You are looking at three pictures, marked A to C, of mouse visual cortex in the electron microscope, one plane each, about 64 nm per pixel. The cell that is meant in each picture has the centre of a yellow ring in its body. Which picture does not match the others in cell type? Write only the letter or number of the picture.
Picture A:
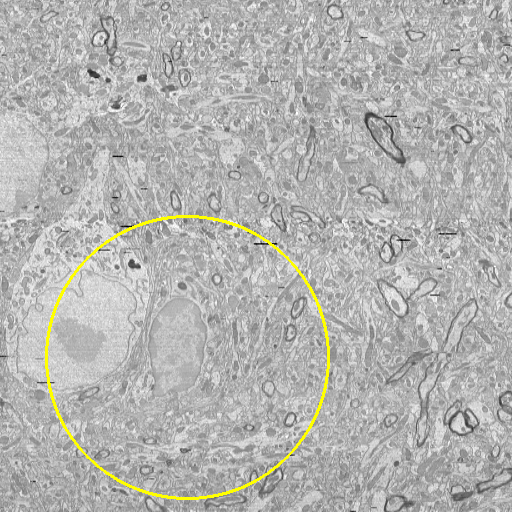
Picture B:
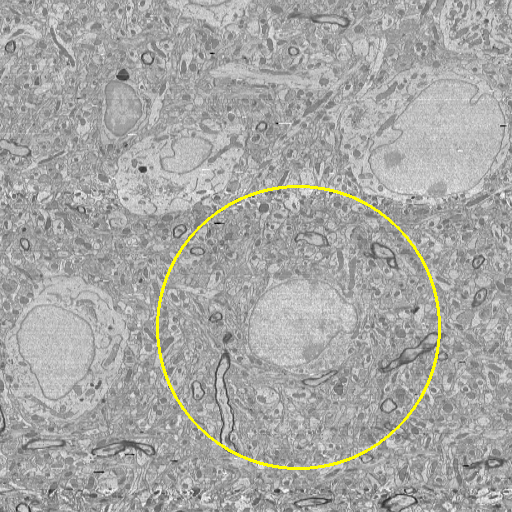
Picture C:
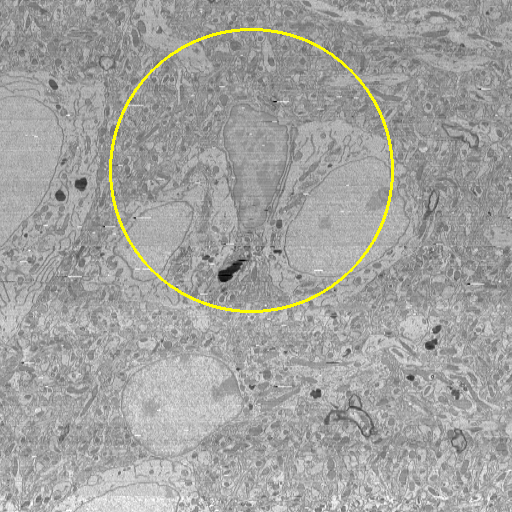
B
